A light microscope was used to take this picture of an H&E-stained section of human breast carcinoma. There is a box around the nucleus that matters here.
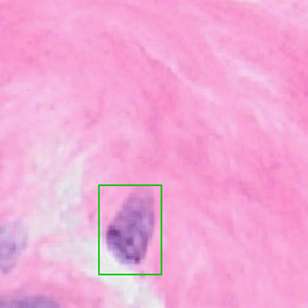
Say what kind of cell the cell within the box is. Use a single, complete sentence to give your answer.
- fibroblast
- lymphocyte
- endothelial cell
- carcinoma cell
The identity of the cell within the box is that of a fibroblast.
